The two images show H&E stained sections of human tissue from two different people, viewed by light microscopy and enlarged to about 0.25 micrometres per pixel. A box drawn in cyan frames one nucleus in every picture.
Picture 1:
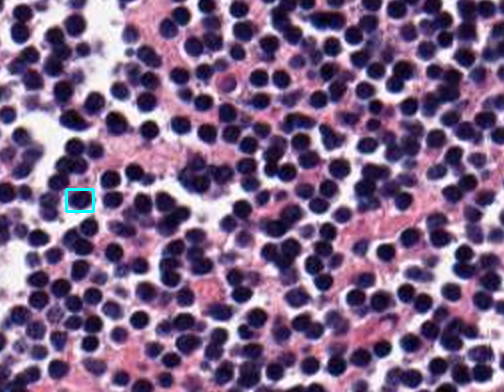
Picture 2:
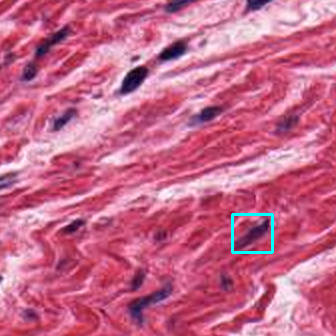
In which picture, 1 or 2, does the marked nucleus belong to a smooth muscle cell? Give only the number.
2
